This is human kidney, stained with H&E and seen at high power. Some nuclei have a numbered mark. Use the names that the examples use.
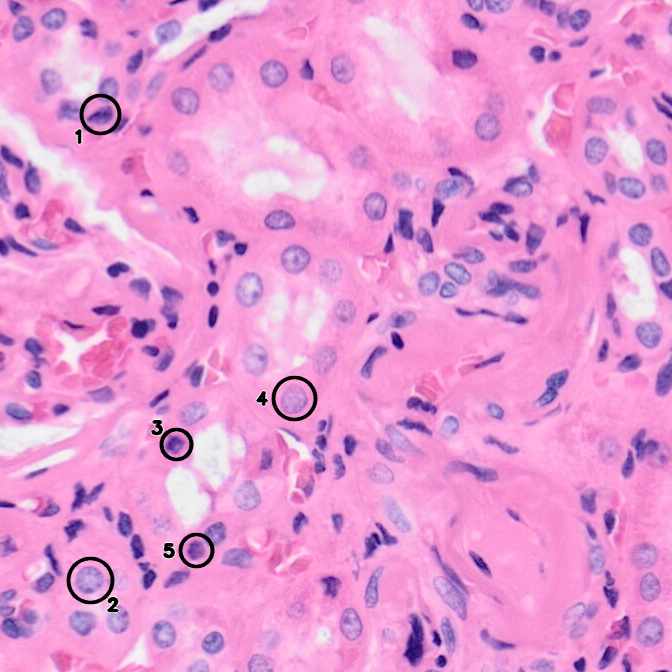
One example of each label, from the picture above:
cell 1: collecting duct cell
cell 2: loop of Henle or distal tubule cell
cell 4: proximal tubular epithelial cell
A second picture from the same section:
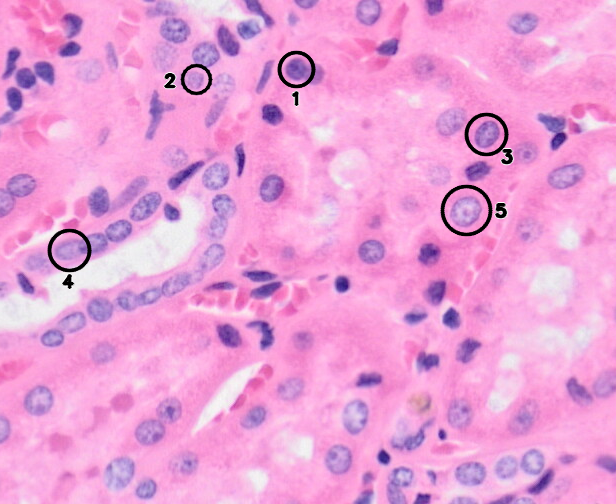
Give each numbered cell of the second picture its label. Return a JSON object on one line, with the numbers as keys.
{"1": "proximal tubular epithelial cell", "2": "collecting duct cell", "3": "proximal tubular epithelial cell", "4": "collecting duct cell", "5": "proximal tubular epithelial cell"}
